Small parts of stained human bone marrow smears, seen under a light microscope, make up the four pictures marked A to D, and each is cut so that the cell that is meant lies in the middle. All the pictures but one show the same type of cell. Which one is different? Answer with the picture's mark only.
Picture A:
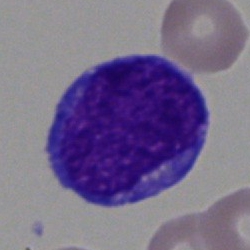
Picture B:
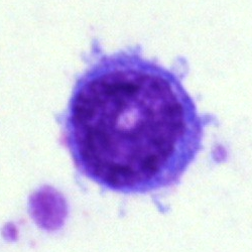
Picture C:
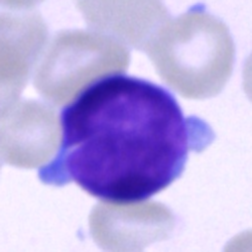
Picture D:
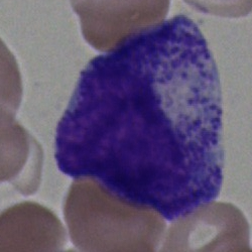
D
